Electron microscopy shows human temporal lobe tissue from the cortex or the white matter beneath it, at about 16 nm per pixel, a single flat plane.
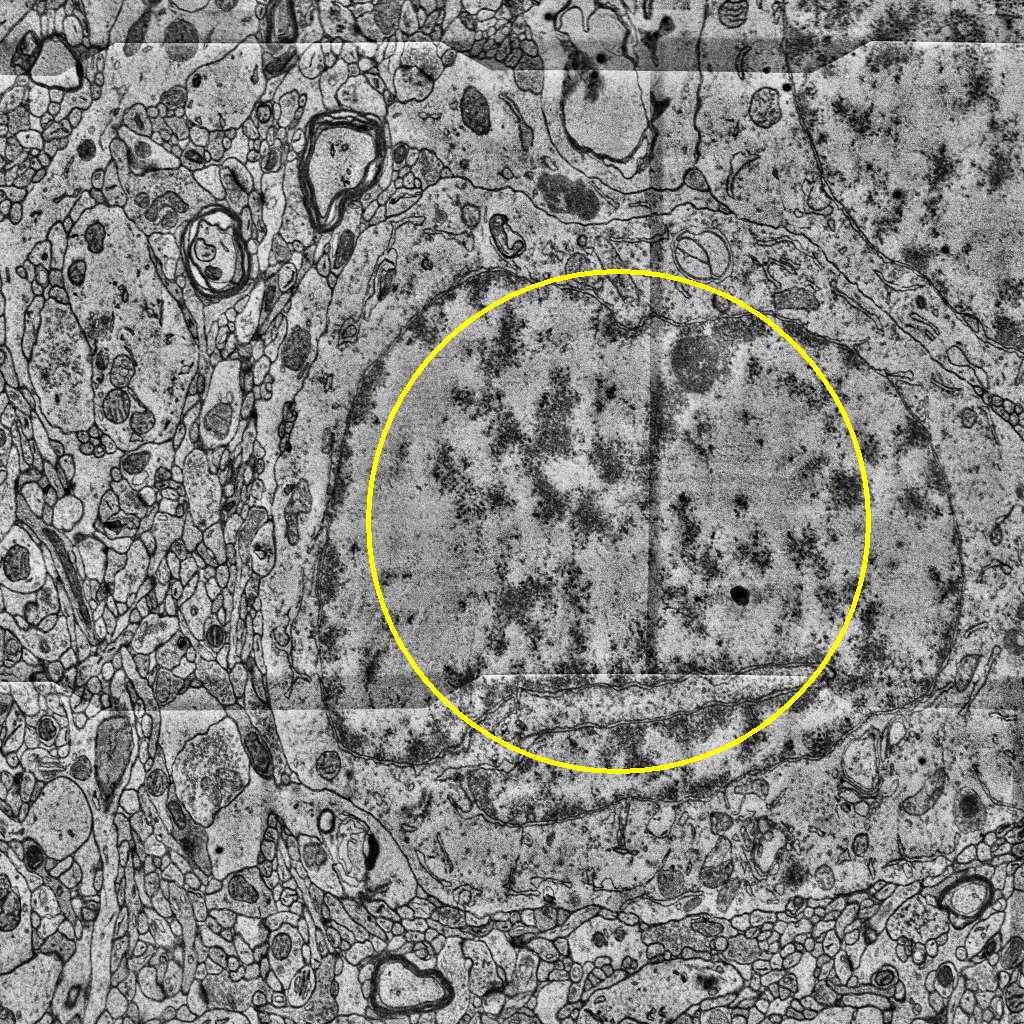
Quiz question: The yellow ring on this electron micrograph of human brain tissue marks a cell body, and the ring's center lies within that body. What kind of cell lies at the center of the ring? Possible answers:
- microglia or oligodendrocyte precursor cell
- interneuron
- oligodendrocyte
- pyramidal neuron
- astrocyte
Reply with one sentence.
The ring's center lies on an interneuron.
